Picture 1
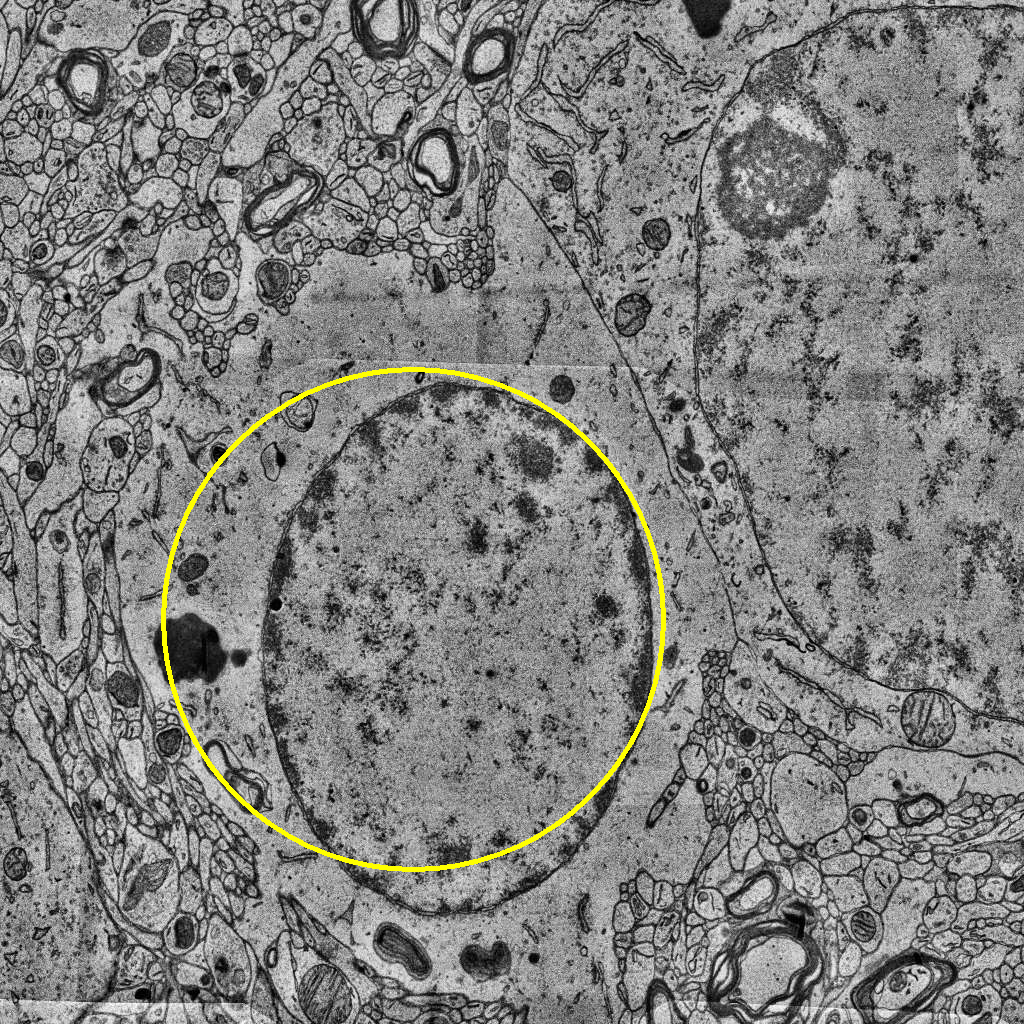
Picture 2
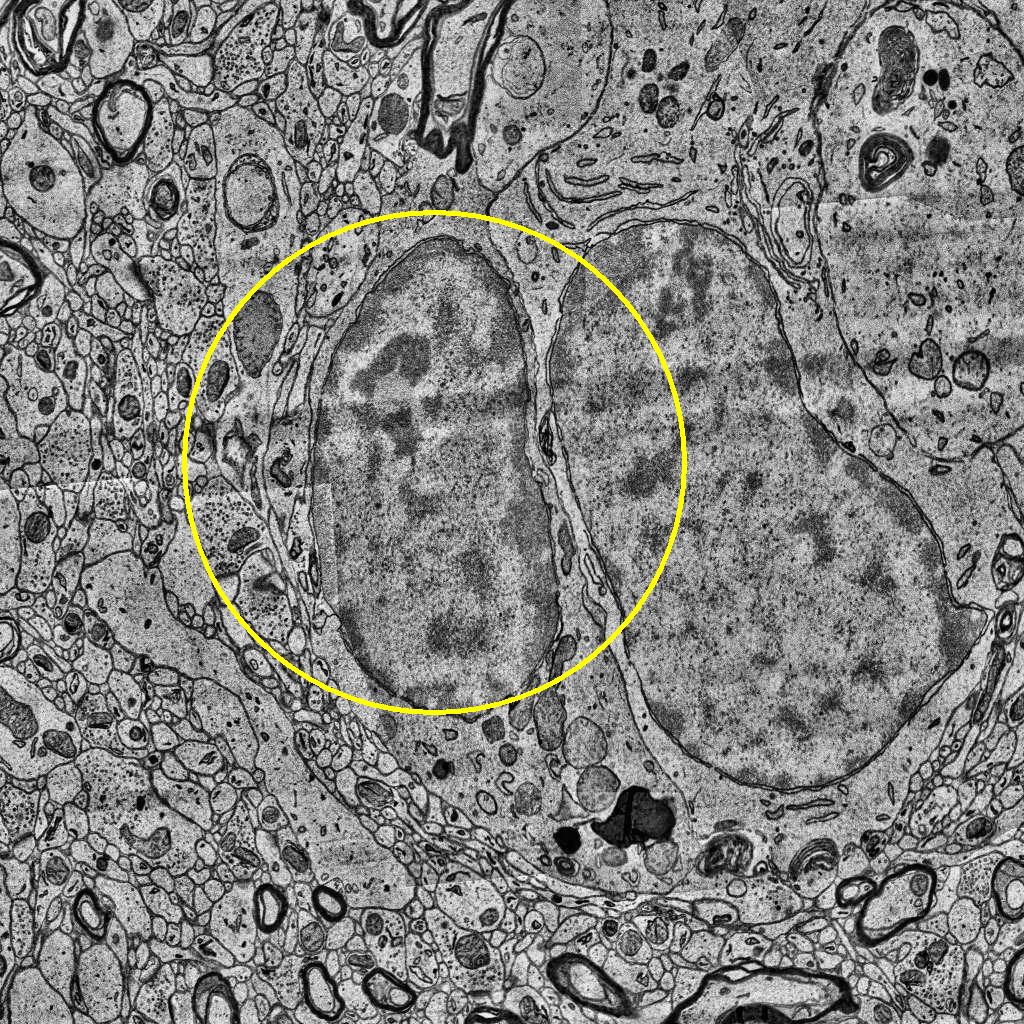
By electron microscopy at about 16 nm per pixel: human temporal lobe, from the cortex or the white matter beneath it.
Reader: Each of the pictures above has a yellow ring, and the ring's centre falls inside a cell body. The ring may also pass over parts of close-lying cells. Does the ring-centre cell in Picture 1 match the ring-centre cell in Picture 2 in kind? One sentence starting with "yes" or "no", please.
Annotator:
No, Picture 1 and Picture 2 show ring-centre cells of two kinds.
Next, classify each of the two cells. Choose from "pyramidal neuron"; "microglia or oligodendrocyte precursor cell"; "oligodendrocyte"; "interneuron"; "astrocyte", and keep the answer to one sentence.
The first cell is an astrocyte; the second is an oligodendrocyte.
